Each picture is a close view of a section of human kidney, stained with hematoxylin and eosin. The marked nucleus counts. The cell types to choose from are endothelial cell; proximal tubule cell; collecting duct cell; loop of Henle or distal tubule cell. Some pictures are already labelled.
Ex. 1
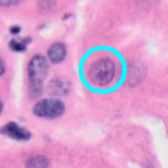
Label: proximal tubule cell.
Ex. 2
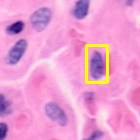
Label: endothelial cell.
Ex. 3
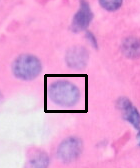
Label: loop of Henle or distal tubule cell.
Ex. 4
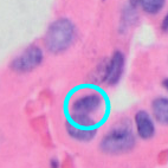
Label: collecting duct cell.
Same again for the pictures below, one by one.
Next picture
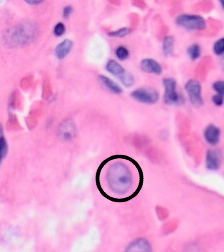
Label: proximal tubule cell.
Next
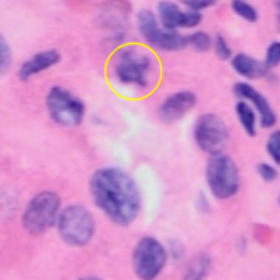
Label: loop of Henle or distal tubule cell.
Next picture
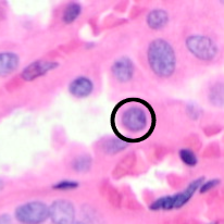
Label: loop of Henle or distal tubule cell.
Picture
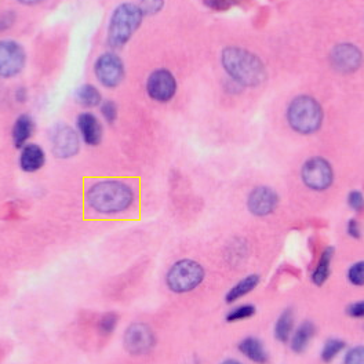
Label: proximal tubule cell.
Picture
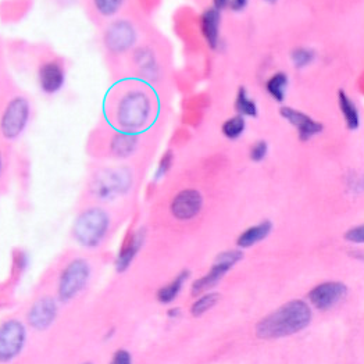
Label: collecting duct cell.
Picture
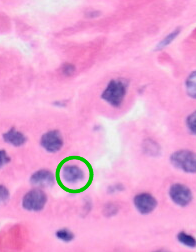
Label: loop of Henle or distal tubule cell.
